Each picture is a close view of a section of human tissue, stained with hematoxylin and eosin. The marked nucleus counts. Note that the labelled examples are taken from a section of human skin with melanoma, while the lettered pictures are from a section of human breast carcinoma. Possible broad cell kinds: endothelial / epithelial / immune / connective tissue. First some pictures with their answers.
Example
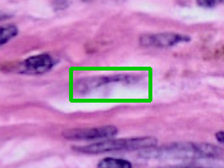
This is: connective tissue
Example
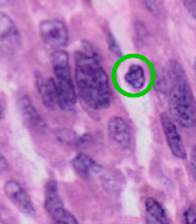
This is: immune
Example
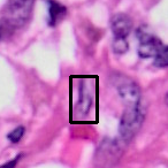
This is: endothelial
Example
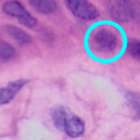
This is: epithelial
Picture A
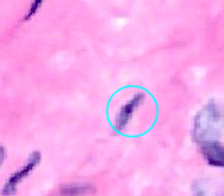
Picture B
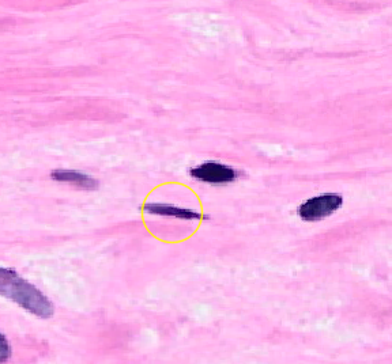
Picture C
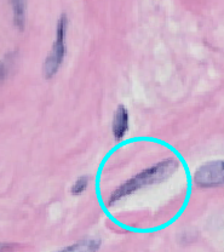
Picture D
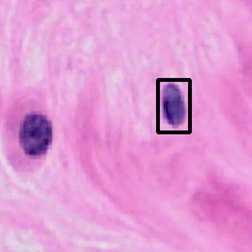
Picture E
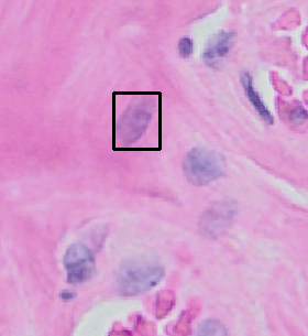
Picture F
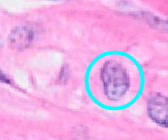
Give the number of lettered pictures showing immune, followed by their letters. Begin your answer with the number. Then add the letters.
1: D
